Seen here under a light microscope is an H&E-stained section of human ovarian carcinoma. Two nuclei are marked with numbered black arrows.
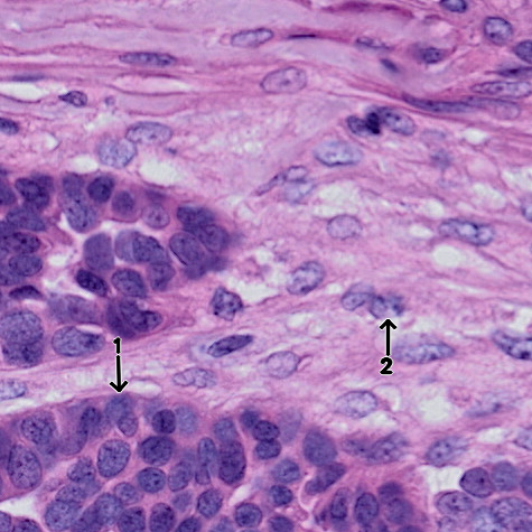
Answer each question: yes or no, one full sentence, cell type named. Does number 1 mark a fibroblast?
No, a carcinoma cell, not a fibroblast, is the cell with number 1.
